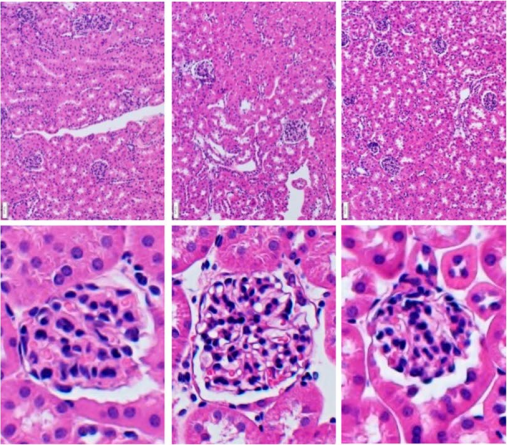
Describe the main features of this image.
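Kidney cortex with glomeruli scattered among closely packed tubules, shown at low power above and as single glomeruli at high power below. Each glomerular tuft is a compact lobulated mass of capillary loops with many dark purple nuclei, enclosed by a thin capsule with a narrow clear space. Surrounding tubules have pink granular cytoplasm and round purple nuclei.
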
